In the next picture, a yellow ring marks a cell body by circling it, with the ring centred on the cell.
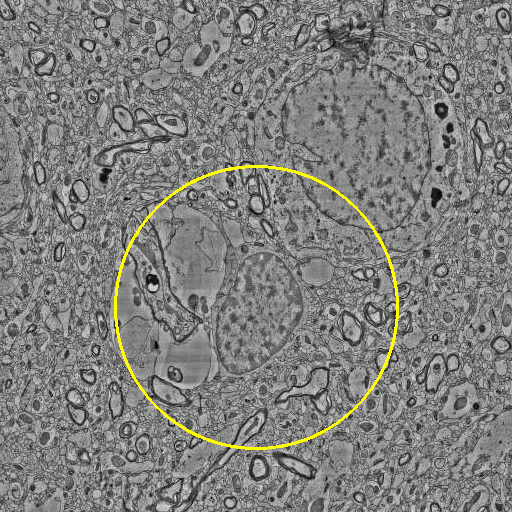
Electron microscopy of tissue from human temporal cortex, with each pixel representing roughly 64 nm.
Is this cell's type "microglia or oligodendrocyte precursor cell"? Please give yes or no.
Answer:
no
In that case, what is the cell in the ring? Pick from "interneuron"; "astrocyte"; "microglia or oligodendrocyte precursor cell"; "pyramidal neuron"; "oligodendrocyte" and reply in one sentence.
The correct answer is that the cell is an oligodendrocyte.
